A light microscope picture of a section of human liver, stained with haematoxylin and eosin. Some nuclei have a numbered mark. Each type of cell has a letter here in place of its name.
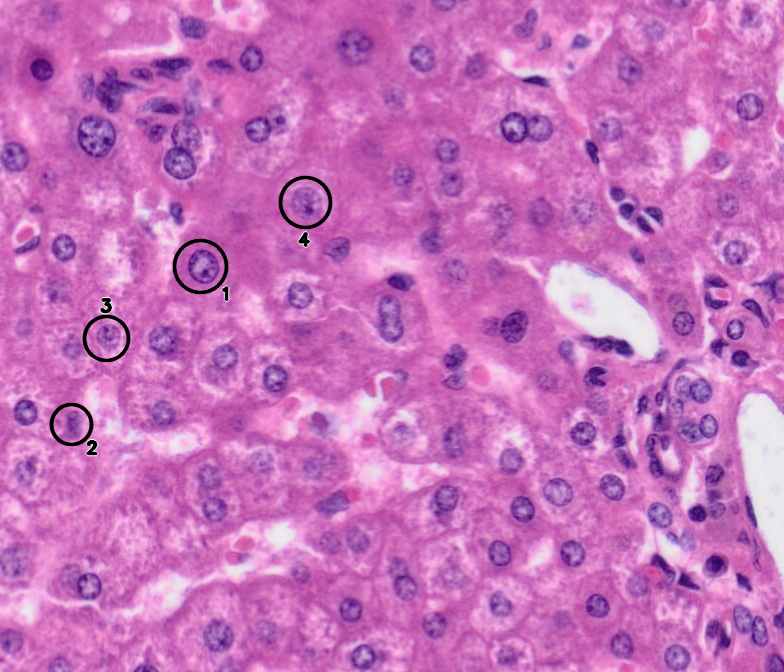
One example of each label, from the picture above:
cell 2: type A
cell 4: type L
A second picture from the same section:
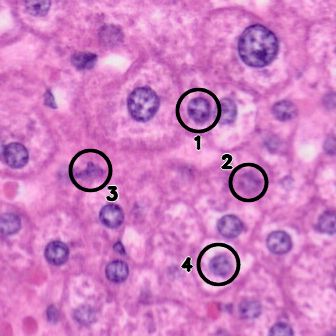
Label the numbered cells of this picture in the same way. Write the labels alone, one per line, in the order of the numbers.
type L
type L
type A
type L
